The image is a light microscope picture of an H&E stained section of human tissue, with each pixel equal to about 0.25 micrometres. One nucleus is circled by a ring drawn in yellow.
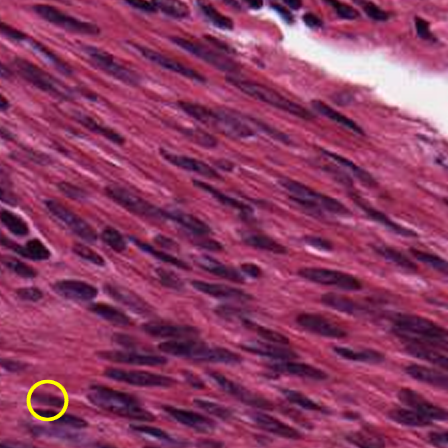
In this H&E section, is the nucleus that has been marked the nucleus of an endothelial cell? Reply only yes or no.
no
